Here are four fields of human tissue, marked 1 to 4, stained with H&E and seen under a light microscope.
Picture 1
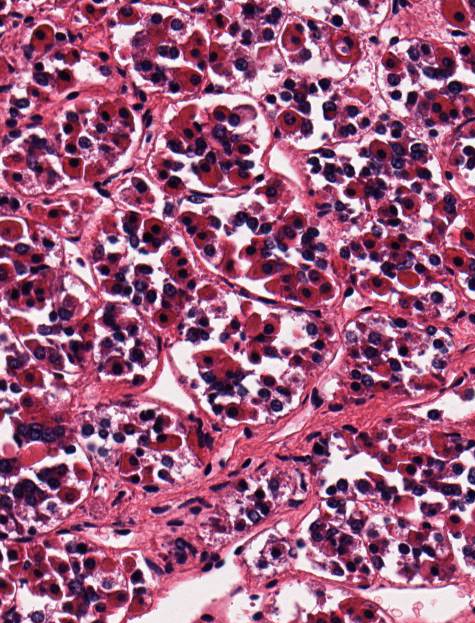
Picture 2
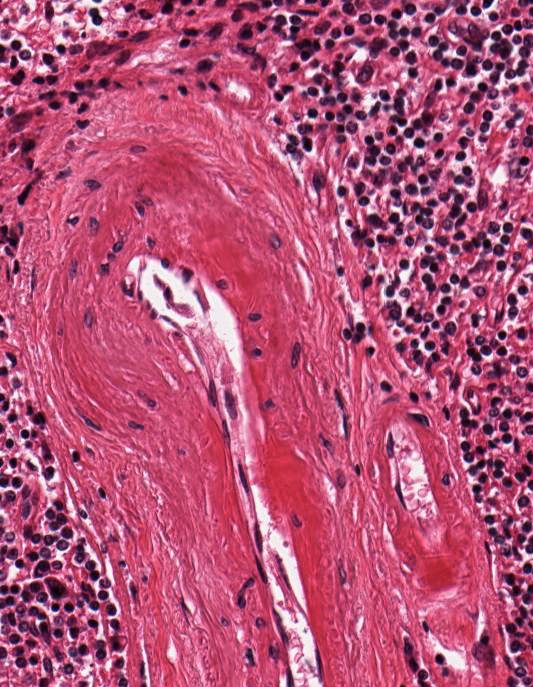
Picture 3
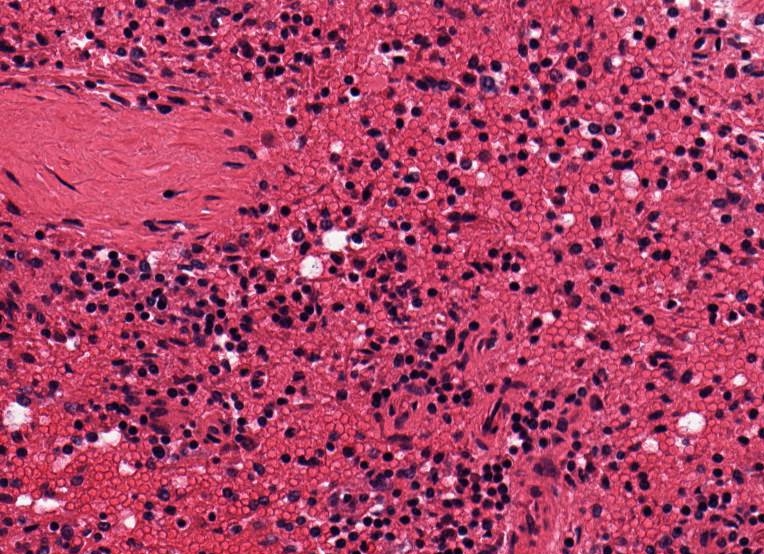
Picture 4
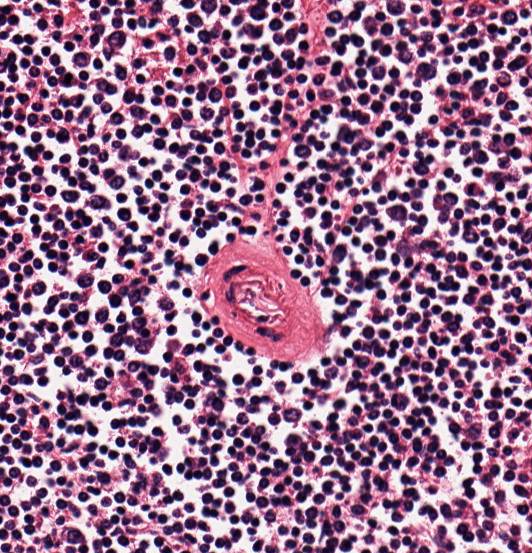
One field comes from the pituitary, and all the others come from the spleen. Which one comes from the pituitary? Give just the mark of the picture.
1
